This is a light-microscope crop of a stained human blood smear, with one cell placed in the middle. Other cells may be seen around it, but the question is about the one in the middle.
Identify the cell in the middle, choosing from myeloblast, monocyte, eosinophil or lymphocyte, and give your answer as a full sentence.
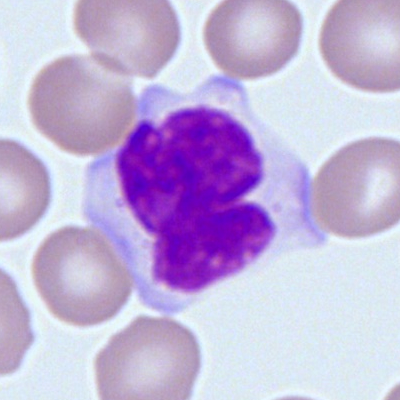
By classification, the middle cell of this crop is a lymphocyte.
